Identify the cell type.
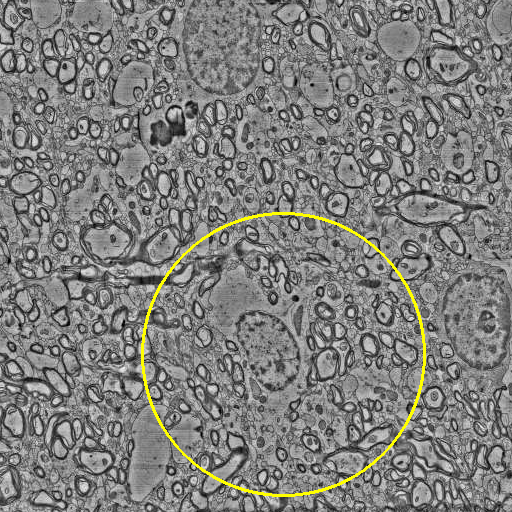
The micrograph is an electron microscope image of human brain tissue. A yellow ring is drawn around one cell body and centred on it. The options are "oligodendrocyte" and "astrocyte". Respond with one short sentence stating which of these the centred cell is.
The cell body in the ring belongs to an astrocyte.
